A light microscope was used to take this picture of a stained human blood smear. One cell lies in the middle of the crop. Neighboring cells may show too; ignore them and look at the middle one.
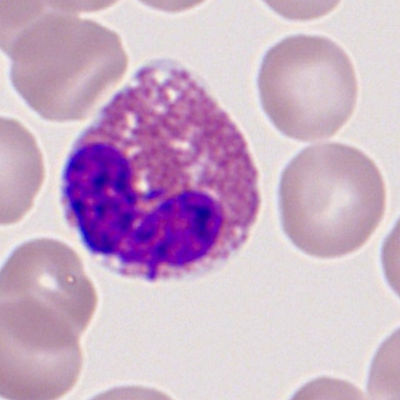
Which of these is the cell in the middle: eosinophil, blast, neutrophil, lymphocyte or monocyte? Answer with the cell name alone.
eosinophil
